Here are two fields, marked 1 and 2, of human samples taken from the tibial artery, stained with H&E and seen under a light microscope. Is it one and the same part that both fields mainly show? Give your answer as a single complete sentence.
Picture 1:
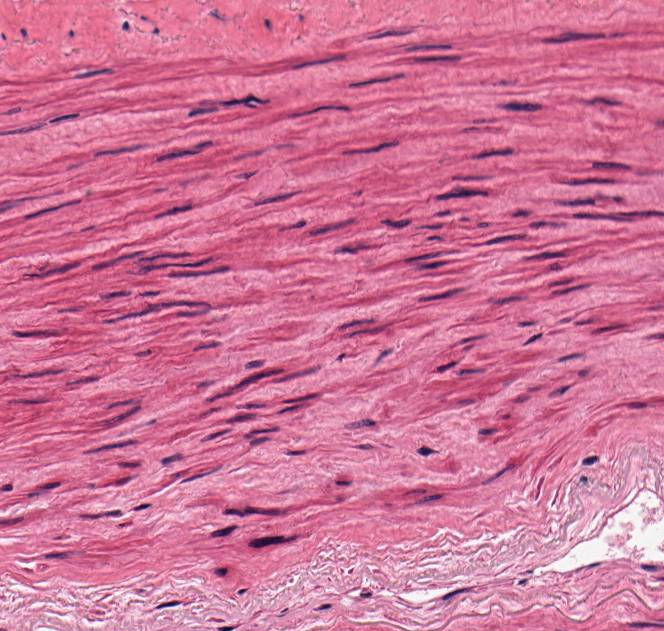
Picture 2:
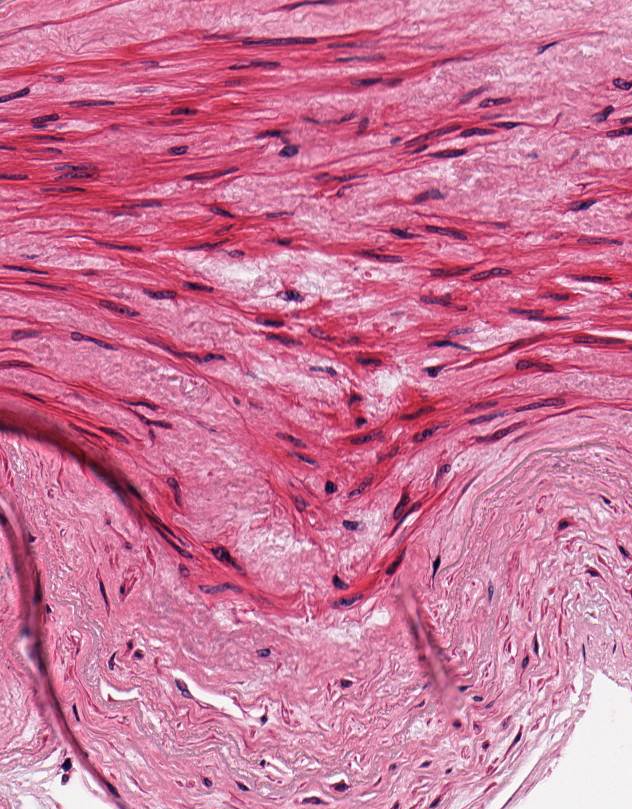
Yes, they mainly show the same part: both mainly show the tunica media.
